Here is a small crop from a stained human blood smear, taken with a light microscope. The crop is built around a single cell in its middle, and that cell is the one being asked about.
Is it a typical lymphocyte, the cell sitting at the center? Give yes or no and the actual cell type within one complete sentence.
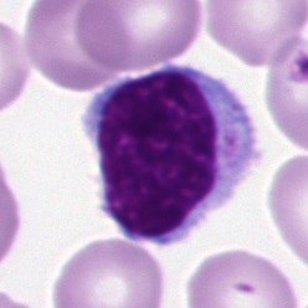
Yes, the cell in the middle of this smear crop is a typical lymphocyte.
